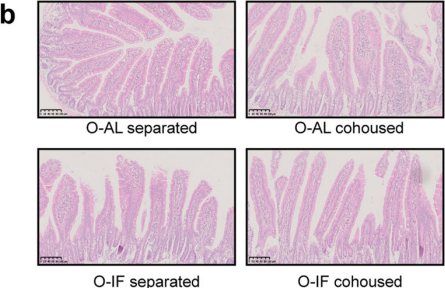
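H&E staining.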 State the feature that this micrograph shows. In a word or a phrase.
Villus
